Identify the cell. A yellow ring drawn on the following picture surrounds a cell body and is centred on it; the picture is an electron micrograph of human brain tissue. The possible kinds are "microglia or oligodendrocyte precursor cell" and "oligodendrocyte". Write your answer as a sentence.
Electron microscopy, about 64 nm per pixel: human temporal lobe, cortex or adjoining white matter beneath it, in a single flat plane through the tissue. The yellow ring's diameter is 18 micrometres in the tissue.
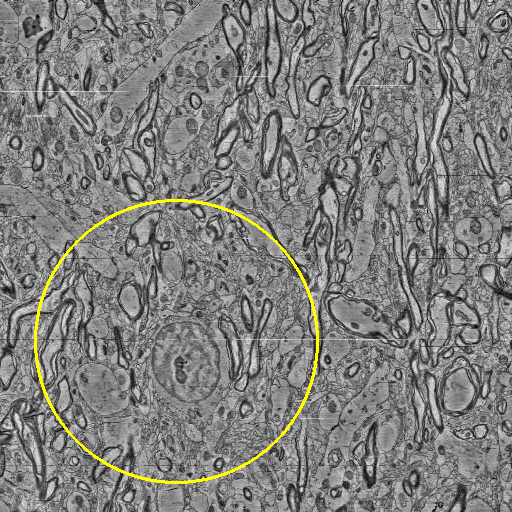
The cell identified by the ring is an oligodendrocyte.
